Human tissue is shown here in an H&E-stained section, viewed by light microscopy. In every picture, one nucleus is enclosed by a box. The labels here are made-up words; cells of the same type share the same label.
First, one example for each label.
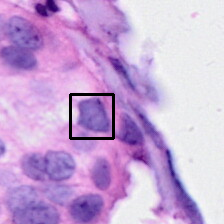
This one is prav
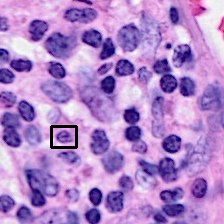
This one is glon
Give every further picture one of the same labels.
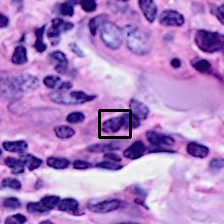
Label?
glon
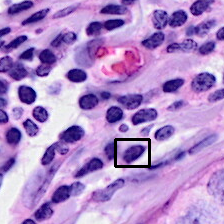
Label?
glon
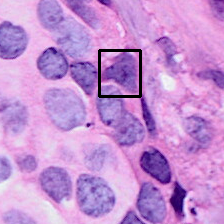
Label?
prav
